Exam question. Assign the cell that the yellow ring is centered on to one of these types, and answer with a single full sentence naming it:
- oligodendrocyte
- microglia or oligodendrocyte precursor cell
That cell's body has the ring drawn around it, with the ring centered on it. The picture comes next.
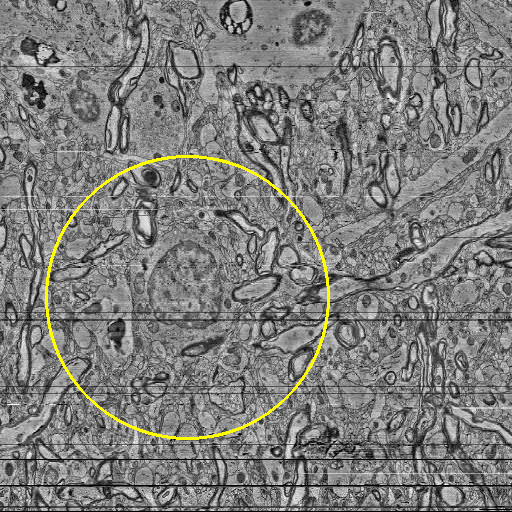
In the micrograph, the cell the yellow ring is centered on is an oligodendrocyte.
